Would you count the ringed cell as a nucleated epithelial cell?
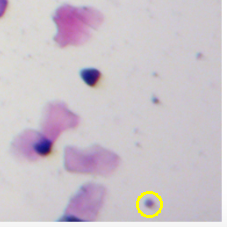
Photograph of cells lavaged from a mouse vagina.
No, I would count it as a leukocyte.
